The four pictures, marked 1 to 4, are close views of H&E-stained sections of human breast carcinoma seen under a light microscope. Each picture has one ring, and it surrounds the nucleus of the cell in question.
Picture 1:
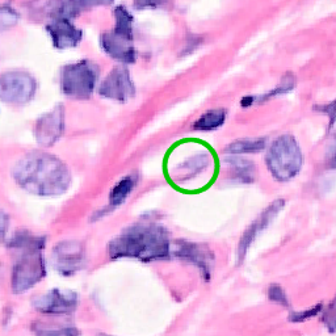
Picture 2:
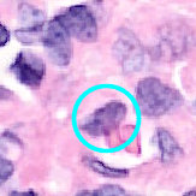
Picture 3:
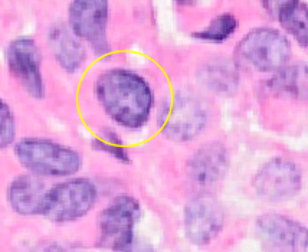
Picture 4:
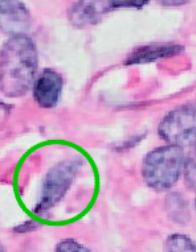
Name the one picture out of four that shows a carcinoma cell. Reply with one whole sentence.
The picture with the carcinoma cell is 3.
